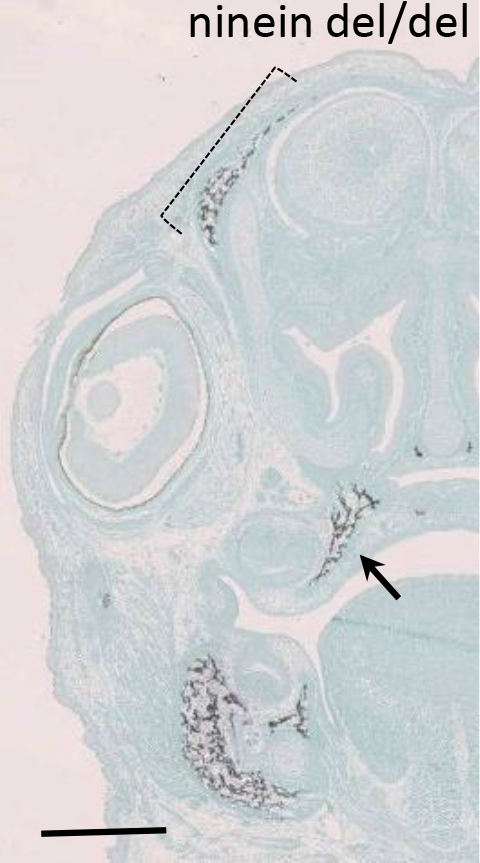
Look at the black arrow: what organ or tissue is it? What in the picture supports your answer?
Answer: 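The arrow points to a branching band of black deposits above the oral cavity. The black deposits lie in the roof of the mouth, between the eye region and the tongue.
Hence: palatal bones.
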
